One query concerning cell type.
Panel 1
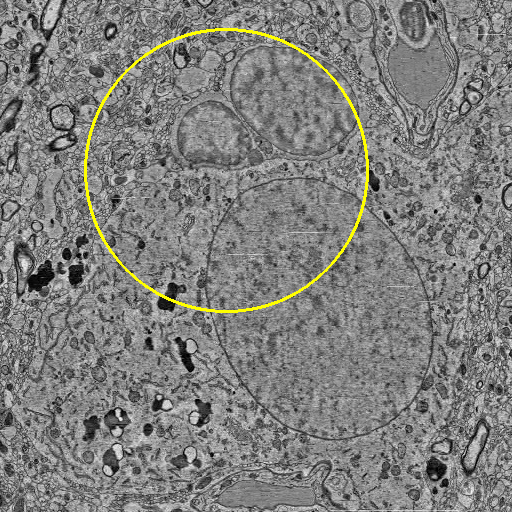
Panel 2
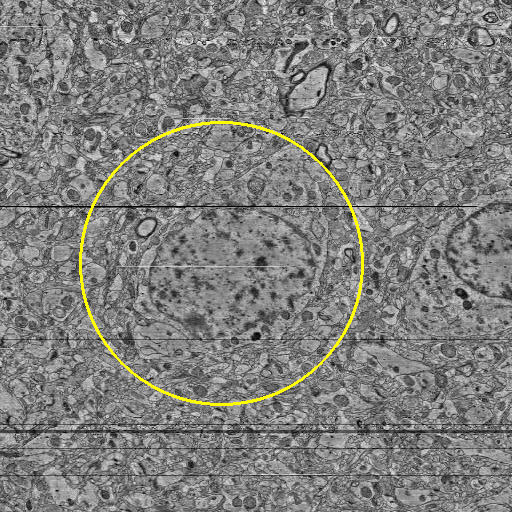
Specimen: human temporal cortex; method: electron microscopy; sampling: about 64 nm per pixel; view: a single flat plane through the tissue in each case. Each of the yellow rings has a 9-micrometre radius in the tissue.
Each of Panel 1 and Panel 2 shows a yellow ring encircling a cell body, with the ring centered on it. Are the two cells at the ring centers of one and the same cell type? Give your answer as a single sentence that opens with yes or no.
No, the cell centered in Panel 1 and the one in Panel 2 are of two types.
